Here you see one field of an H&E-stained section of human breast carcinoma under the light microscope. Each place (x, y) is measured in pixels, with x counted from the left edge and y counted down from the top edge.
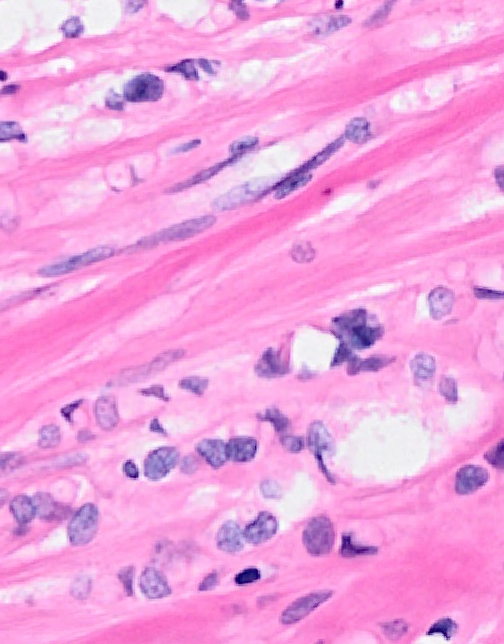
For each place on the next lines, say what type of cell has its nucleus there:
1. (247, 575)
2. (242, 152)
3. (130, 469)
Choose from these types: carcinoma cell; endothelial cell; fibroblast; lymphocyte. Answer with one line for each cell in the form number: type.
1: lymphocyte
2: endothelial cell
3: lymphocyte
